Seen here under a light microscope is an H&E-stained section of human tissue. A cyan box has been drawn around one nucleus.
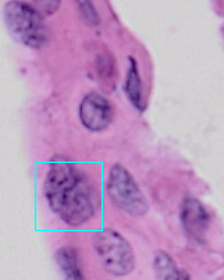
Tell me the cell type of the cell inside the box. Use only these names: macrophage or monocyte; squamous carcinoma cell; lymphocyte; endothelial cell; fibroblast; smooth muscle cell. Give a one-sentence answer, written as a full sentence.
The cell type represented by the cell inside the box is that of a squamous carcinoma cell.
